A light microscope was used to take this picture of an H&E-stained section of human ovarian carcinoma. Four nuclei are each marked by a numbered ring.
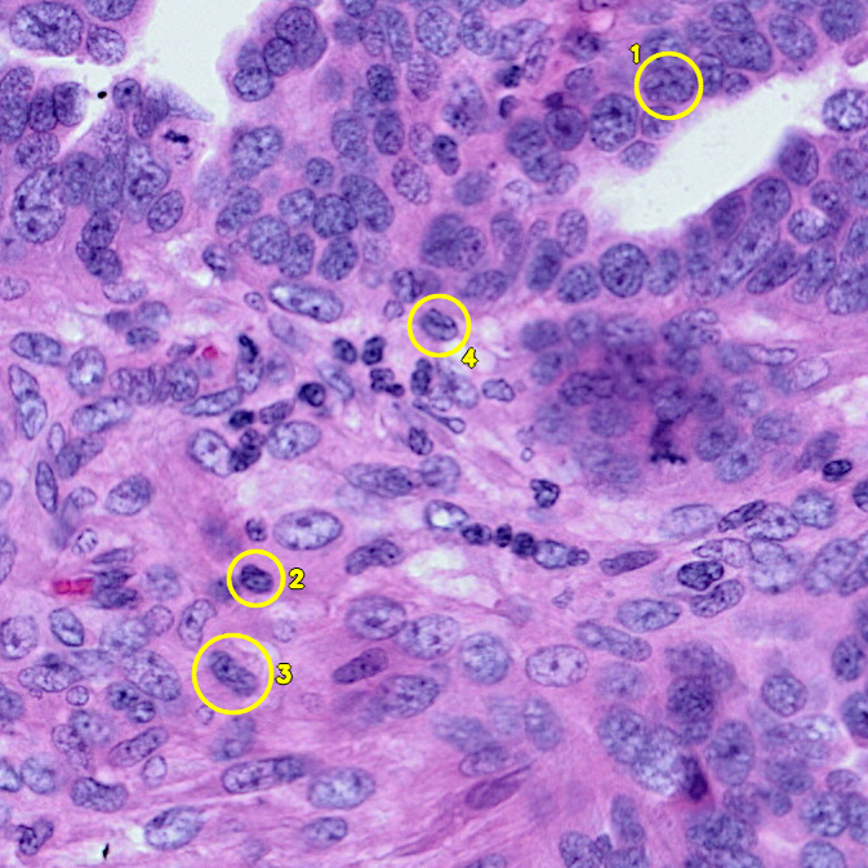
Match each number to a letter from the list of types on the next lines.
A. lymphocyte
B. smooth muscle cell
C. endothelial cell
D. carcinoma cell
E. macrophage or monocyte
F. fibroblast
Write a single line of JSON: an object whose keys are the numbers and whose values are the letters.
{"1": "D", "2": "A", "3": "E", "4": "E"}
